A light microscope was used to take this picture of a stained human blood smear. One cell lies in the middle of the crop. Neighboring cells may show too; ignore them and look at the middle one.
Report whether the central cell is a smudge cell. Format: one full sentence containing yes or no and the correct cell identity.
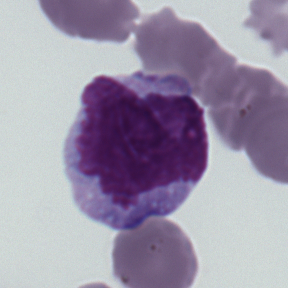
No, the central cell is not a smudge cell; it is a myeloblast.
